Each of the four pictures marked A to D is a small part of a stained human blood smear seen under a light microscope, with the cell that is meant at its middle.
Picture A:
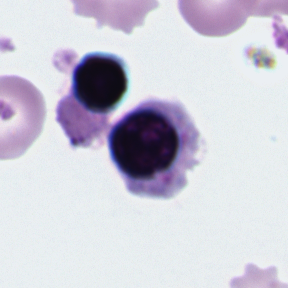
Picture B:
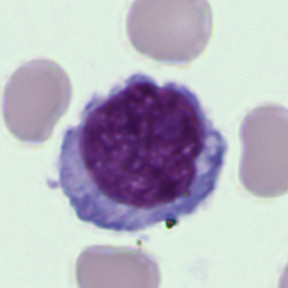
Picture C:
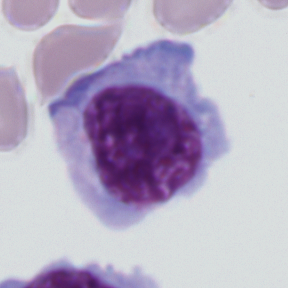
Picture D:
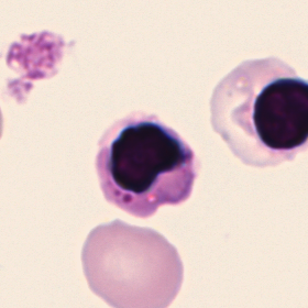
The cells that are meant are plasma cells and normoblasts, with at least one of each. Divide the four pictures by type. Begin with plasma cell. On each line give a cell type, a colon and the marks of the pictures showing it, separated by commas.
plasma cell: B, C
normoblast: A, D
